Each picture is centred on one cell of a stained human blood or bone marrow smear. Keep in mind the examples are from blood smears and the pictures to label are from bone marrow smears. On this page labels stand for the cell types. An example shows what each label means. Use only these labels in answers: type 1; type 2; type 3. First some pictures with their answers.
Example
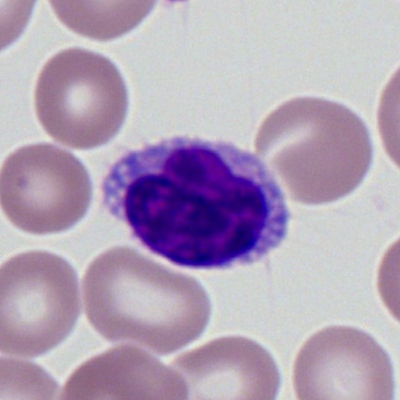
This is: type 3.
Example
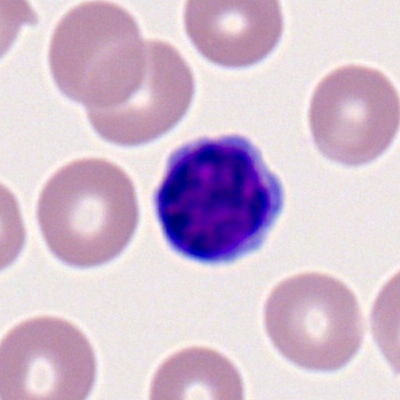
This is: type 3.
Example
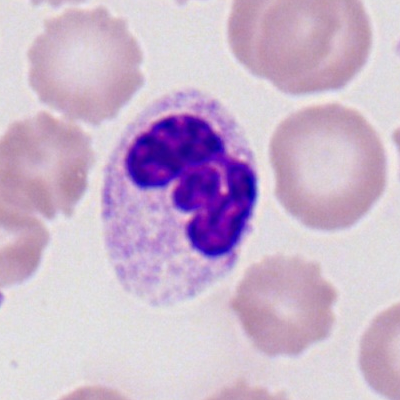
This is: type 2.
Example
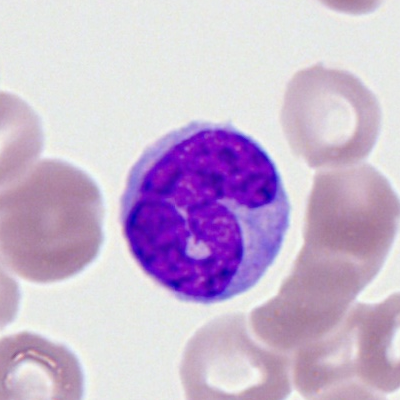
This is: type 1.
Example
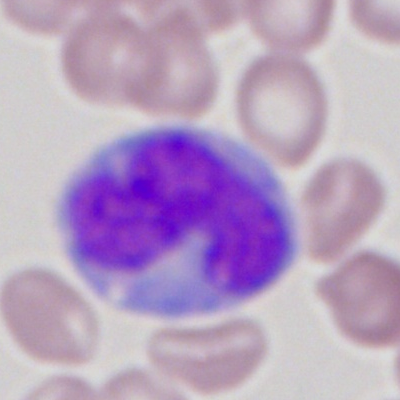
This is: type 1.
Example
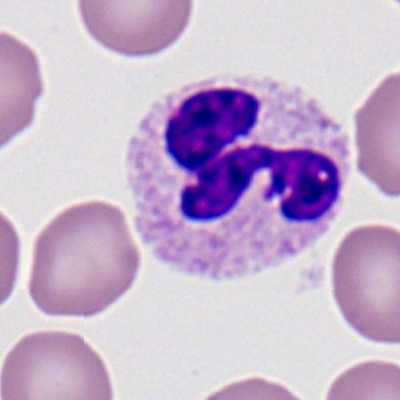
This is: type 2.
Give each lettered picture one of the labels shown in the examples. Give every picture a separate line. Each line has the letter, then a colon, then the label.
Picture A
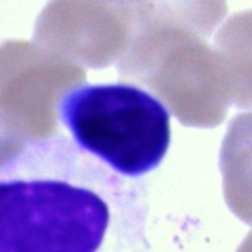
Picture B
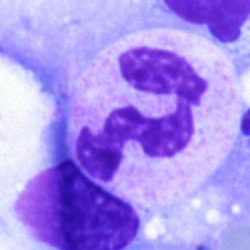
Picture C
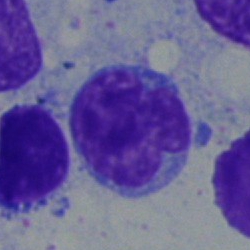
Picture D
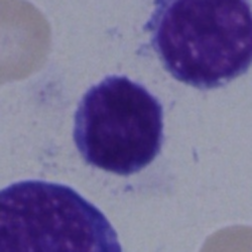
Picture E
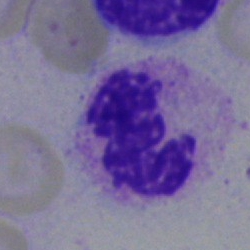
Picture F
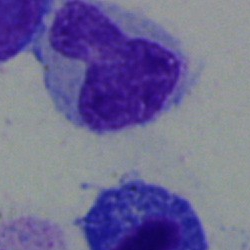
A: type 3.
B: type 2.
C: type 3.
D: type 3.
E: type 2.
F: type 1.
